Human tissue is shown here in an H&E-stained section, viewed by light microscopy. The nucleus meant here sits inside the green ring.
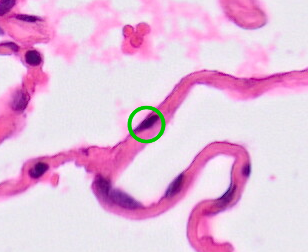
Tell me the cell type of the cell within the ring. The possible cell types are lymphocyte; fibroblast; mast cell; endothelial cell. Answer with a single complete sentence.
Students should answer that the cell within the ring is an endothelial cell.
